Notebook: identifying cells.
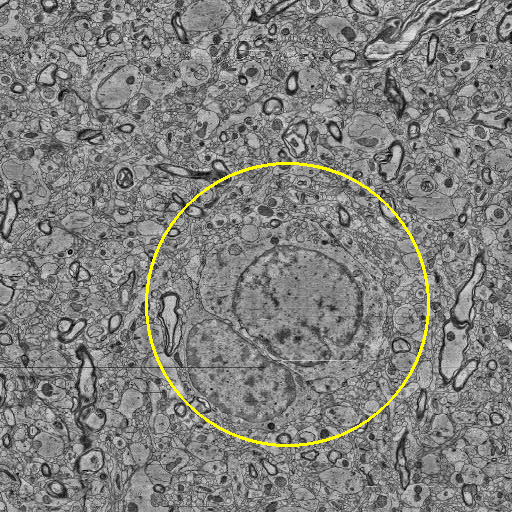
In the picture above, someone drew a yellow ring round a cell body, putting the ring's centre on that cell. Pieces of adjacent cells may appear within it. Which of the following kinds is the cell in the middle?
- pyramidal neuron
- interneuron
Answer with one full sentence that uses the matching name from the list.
In this picture, the yellow ring is centred on the body of an interneuron.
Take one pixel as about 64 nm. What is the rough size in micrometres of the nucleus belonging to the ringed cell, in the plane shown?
The nucleus comes to roughly 9 by 7 micrometres in this plane.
